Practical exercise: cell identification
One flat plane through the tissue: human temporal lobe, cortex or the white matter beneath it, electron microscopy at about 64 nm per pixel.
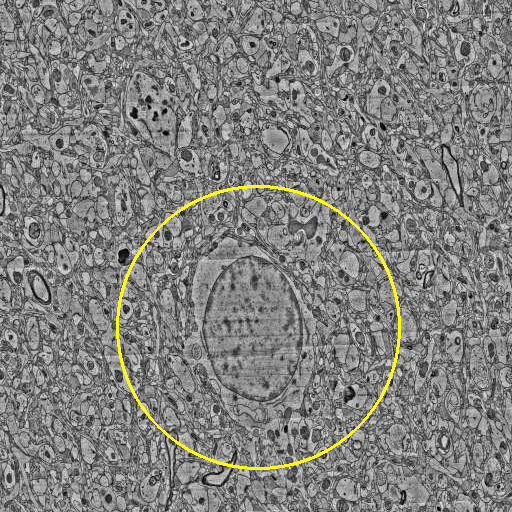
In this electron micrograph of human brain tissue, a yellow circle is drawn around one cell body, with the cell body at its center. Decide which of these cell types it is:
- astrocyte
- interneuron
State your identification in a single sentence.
The ringed cell is an astrocyte.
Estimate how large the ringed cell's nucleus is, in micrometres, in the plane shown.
In this plane the nucleus measures roughly 9 by 6 micrometres.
